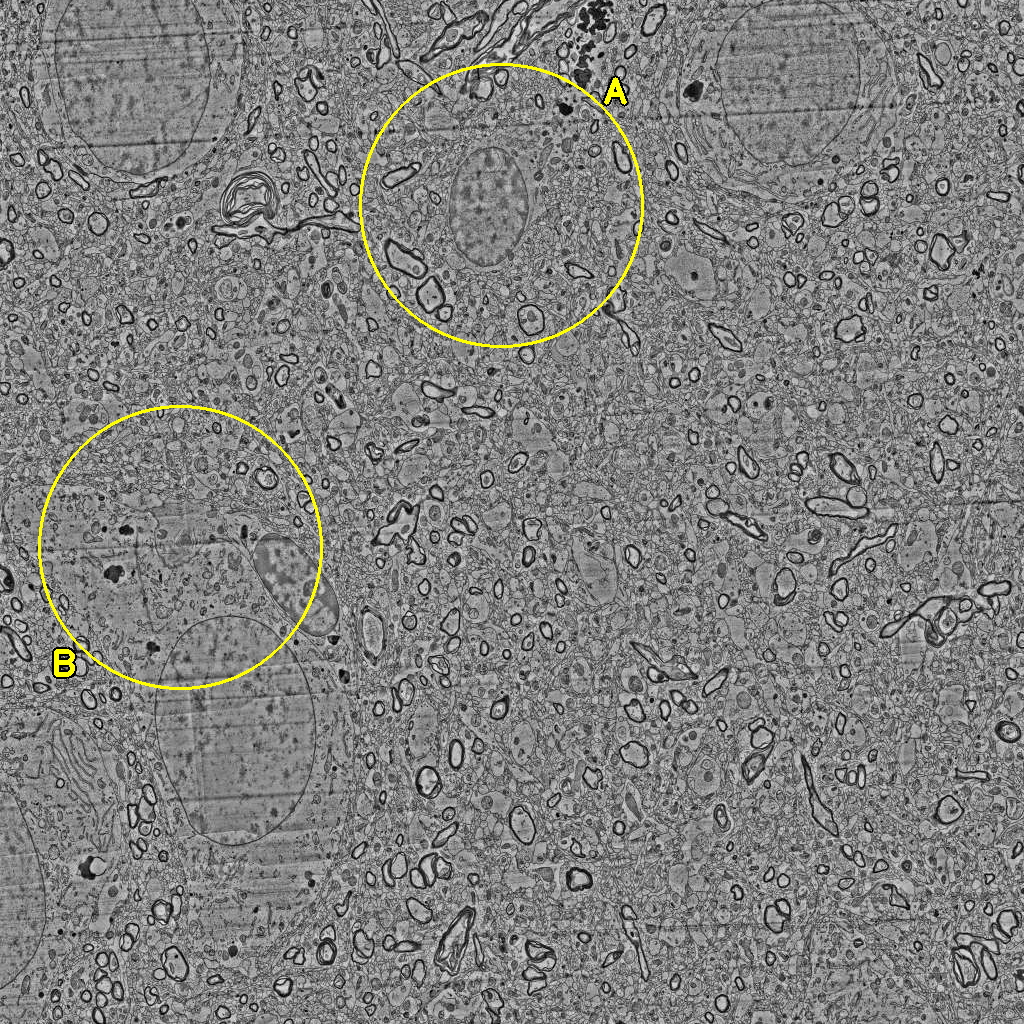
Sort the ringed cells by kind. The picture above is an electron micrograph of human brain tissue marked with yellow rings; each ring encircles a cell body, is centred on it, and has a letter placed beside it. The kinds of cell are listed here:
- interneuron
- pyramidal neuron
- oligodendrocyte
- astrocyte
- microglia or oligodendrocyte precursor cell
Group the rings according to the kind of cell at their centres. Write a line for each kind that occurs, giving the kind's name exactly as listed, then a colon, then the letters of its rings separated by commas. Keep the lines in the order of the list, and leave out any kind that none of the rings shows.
oligodendrocyte: A, B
